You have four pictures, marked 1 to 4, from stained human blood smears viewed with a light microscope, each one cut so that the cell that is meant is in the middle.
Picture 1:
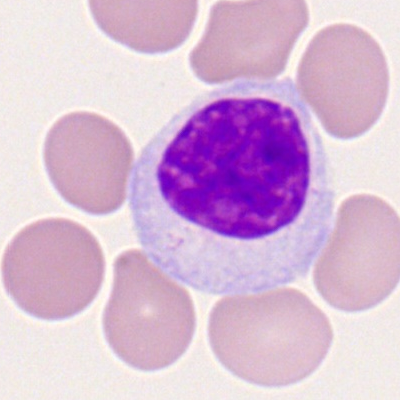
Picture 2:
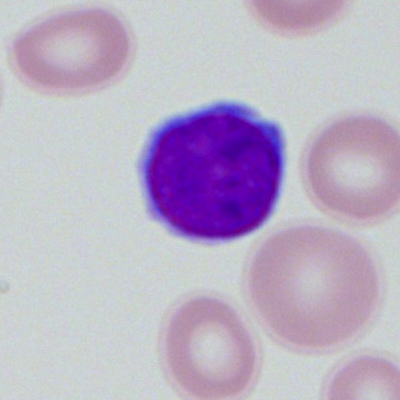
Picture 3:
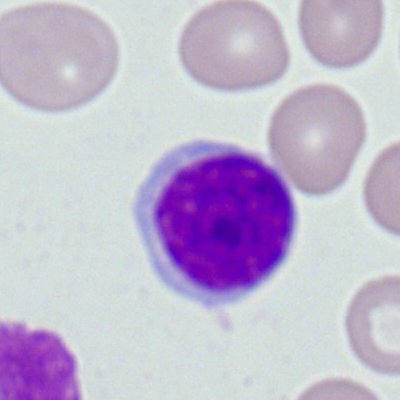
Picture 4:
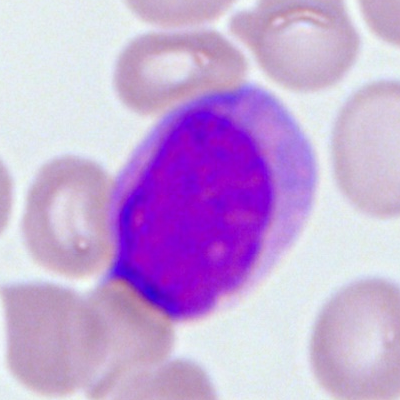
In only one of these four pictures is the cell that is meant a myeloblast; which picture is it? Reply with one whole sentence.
The picture with the myeloblast is 4.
